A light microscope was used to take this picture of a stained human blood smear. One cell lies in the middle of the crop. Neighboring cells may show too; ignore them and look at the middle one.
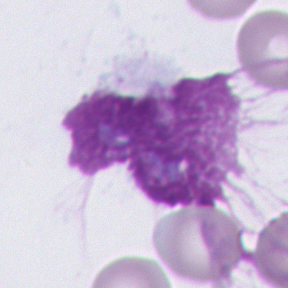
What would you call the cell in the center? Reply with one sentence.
The cell centered in this field of view is a smudge cell.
